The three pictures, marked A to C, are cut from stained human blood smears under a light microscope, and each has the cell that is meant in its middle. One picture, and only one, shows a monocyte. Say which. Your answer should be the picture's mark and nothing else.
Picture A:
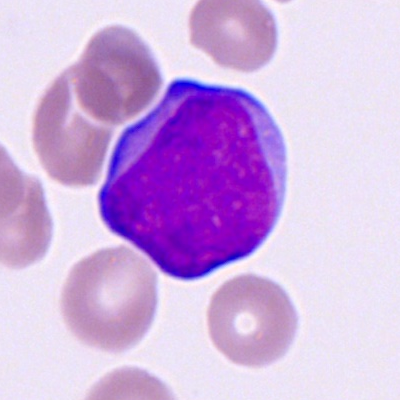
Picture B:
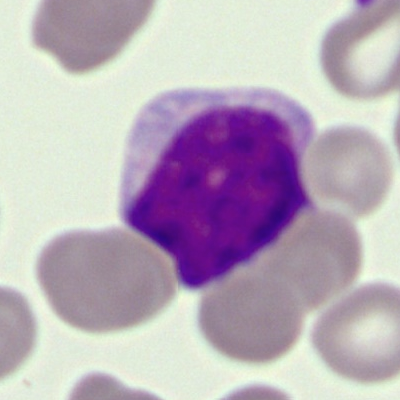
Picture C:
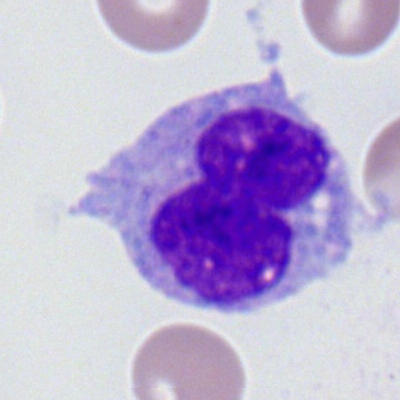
C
